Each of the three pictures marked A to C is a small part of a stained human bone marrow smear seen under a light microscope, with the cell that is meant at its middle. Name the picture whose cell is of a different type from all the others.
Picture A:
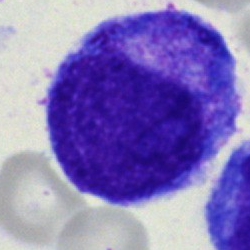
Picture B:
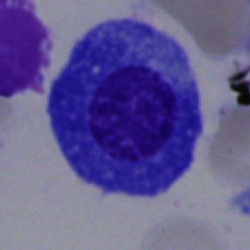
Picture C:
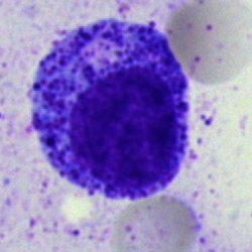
B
